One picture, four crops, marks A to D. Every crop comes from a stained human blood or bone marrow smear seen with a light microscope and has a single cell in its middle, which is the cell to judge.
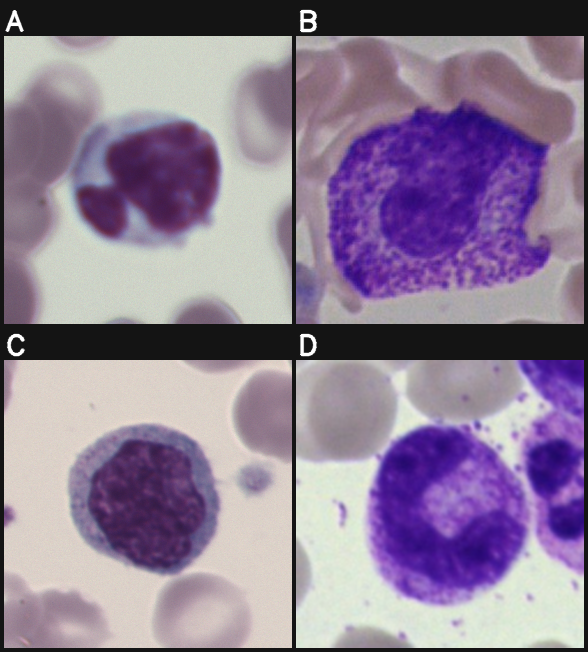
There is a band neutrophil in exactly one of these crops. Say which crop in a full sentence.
Crop D is the crop containing a band neutrophil.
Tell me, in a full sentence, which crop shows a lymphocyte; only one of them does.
Of the crops shown, crop A depicts a lymphocyte.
